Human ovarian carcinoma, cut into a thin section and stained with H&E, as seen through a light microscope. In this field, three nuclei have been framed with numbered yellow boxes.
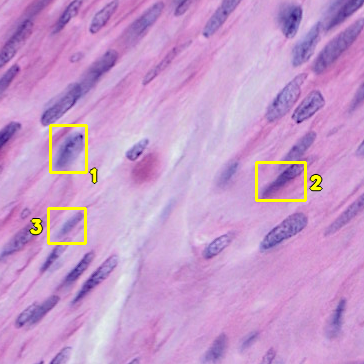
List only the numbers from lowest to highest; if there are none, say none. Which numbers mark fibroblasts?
1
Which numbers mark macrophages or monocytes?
none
